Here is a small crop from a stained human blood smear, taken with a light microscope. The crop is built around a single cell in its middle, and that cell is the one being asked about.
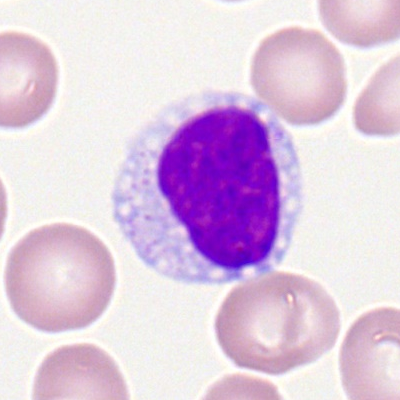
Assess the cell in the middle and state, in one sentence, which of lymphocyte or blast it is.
The cell at the centre of the field is a lymphocyte.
